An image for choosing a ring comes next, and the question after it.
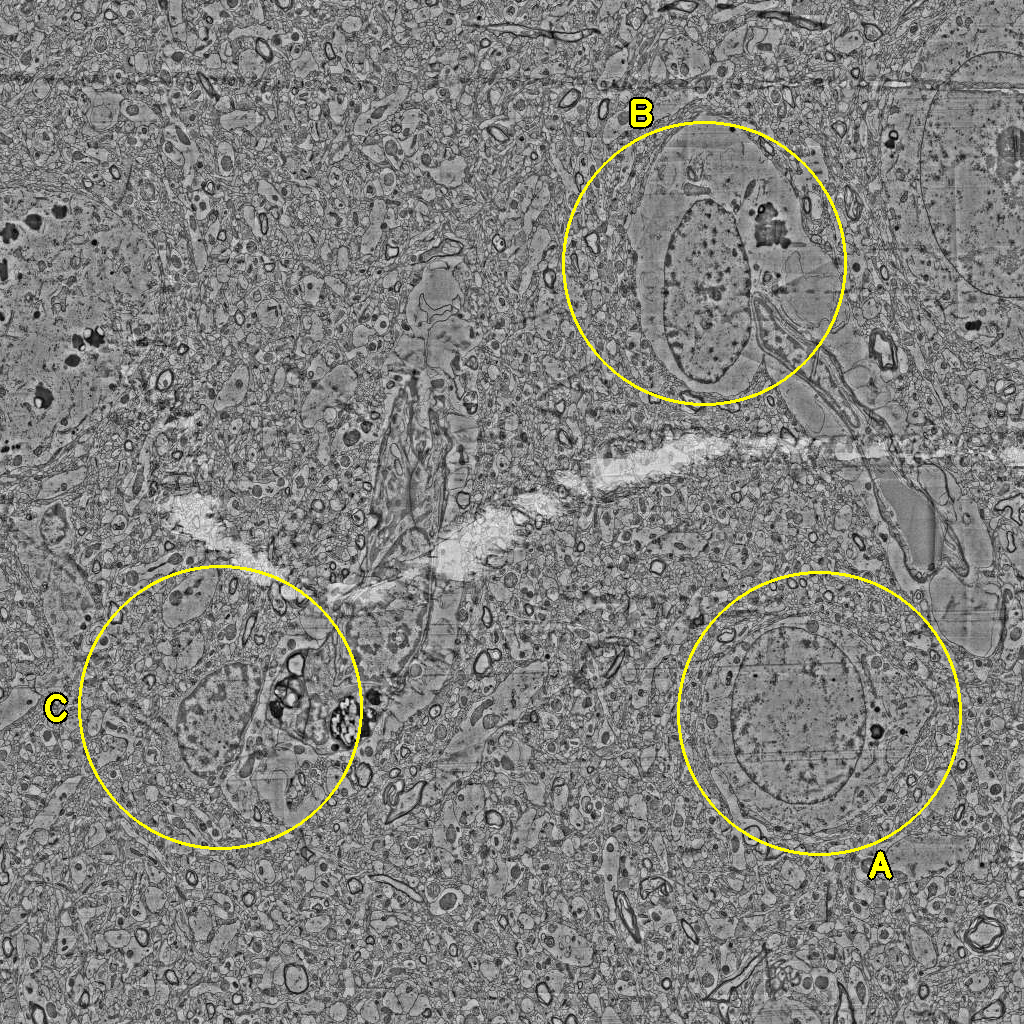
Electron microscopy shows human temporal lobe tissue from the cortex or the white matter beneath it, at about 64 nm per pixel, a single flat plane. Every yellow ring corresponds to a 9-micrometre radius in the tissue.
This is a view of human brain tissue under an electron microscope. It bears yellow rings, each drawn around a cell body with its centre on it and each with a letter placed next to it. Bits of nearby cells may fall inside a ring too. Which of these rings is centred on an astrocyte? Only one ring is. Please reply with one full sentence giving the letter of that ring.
Of all the lettered rings, B is the one centred on a cell of that kind.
